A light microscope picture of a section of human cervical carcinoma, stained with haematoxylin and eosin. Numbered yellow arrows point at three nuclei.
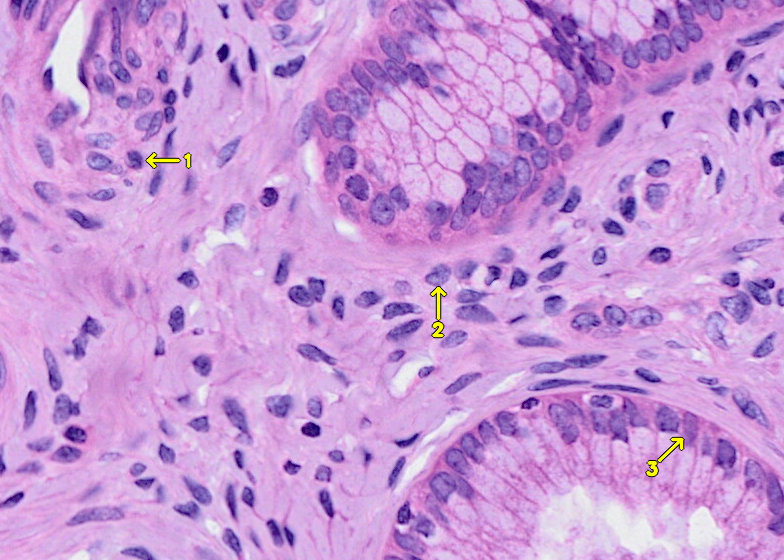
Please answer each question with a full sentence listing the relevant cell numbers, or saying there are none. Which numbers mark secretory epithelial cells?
Among the numbered cells, the one that is a secretory epithelial cell is cell 3 alone.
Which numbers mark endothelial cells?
Nowhere among the numbered cells do endothelial cells occur.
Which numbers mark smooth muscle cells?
Only the cell with number 1 is a smooth muscle cell.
